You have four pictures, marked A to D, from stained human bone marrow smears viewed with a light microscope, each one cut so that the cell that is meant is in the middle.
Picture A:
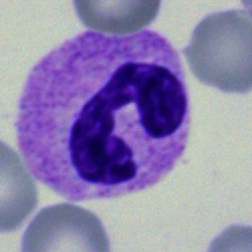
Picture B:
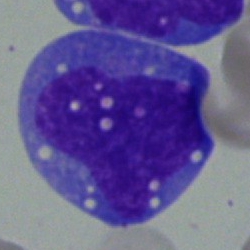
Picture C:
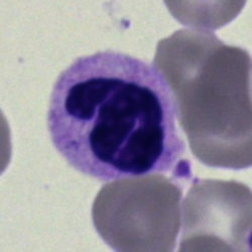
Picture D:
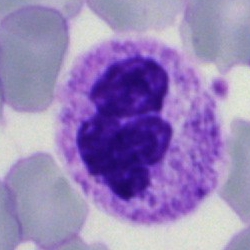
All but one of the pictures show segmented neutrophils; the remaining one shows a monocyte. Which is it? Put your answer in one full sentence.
Picture B is the one that shows the monocyte.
